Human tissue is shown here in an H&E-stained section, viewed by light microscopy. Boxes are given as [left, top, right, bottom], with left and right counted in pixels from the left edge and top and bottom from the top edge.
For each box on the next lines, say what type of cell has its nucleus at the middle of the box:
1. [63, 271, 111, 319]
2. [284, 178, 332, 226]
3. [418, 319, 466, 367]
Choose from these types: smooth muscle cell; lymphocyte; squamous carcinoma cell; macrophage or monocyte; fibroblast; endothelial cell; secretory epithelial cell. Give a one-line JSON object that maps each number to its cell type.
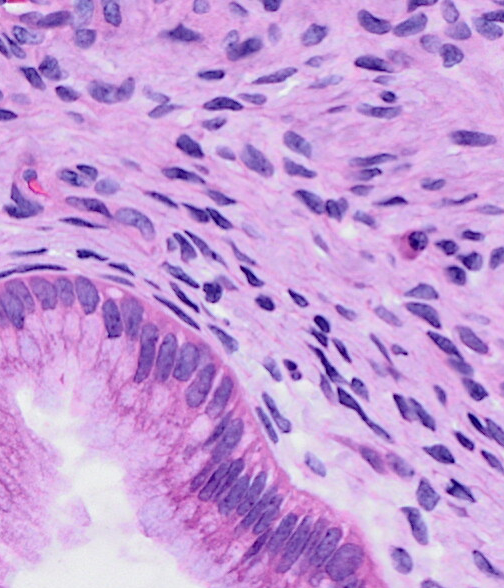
{"1": "secretory epithelial cell", "2": "fibroblast", "3": "fibroblast"}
